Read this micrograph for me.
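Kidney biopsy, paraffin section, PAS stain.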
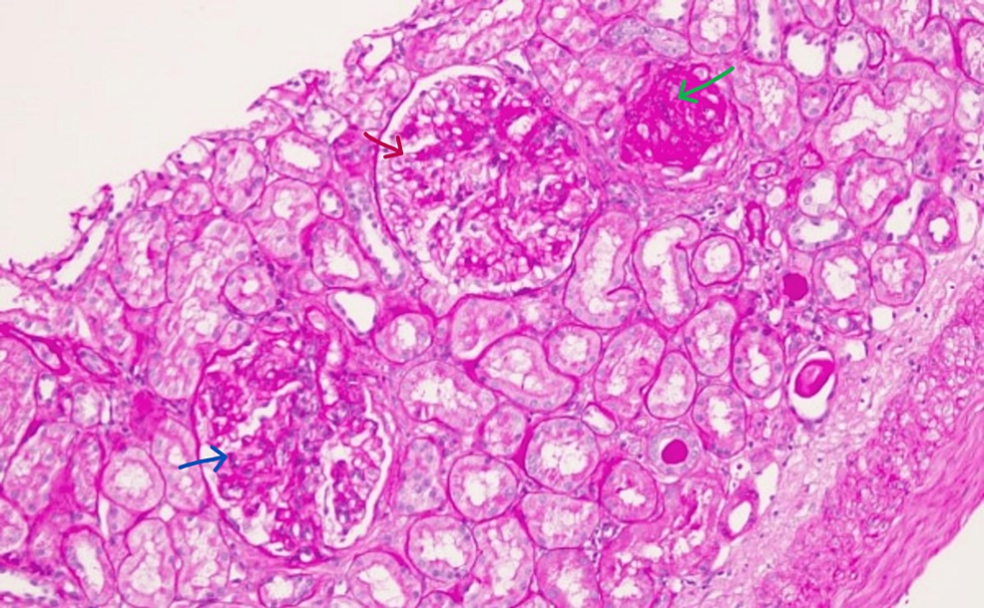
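Renal cortex with three glomeruli set among closely packed tubules. A third, smaller glomerulus is replaced by a solid, intensely magenta, acellular-looking mass without open capillary loops. The surrounding tubules have pale cuboidal epithelium with magenta basement membranes, and a few lumens hold dense magenta casts. Fibrous tissue lies along the lower right edge.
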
